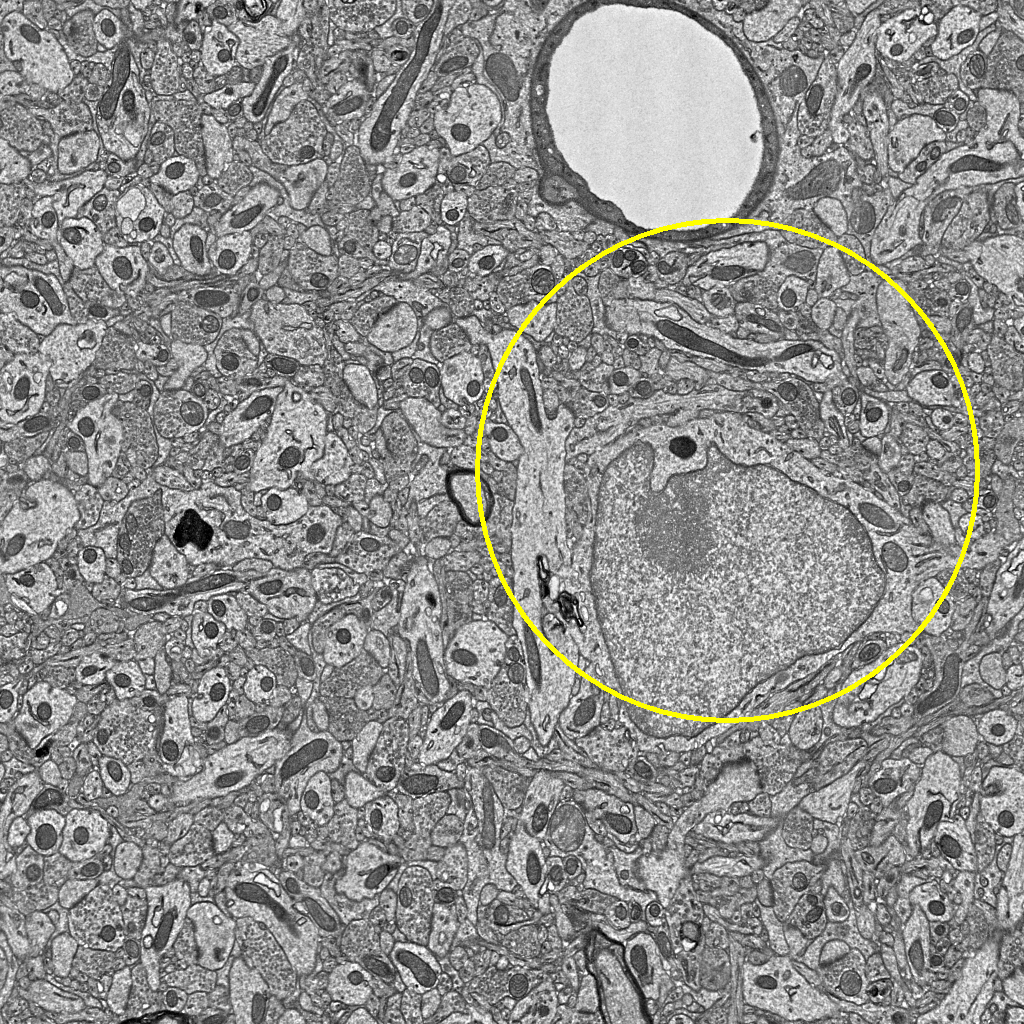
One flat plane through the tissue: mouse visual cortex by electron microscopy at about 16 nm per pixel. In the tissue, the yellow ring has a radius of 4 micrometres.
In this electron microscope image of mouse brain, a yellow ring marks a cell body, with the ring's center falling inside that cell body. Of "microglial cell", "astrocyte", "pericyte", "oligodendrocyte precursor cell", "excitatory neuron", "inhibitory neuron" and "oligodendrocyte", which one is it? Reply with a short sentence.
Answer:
It is an oligodendrocyte precursor cell at the center of the ring.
